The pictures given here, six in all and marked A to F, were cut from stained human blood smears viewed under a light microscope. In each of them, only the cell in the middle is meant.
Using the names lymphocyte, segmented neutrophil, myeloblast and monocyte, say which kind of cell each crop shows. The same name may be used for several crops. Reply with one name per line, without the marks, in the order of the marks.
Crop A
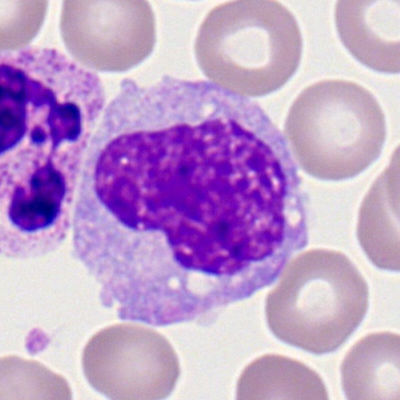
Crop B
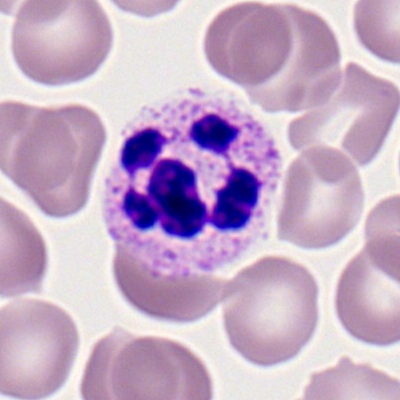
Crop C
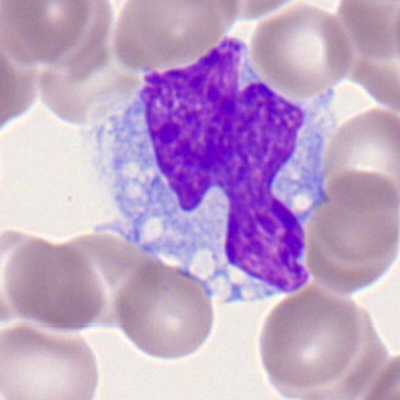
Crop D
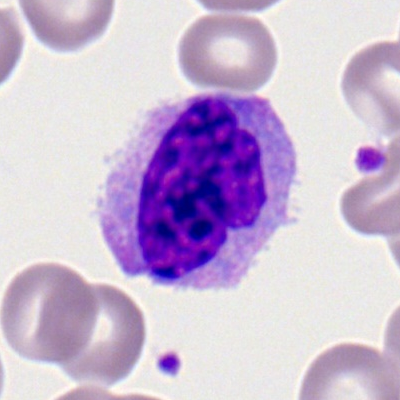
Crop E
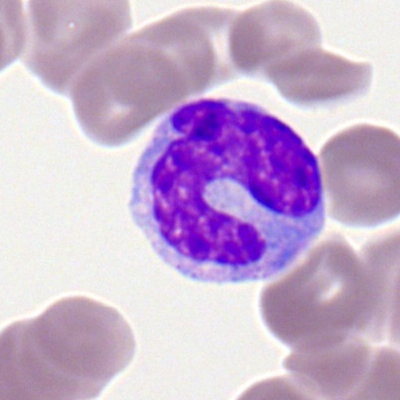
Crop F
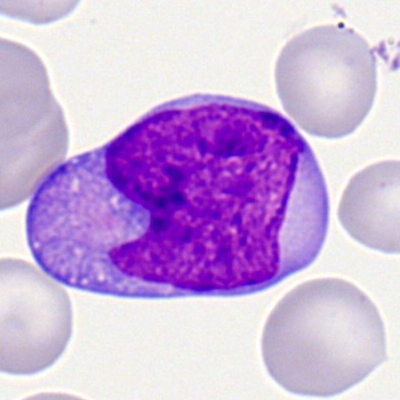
monocyte
segmented neutrophil
monocyte
monocyte
monocyte
myeloblast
